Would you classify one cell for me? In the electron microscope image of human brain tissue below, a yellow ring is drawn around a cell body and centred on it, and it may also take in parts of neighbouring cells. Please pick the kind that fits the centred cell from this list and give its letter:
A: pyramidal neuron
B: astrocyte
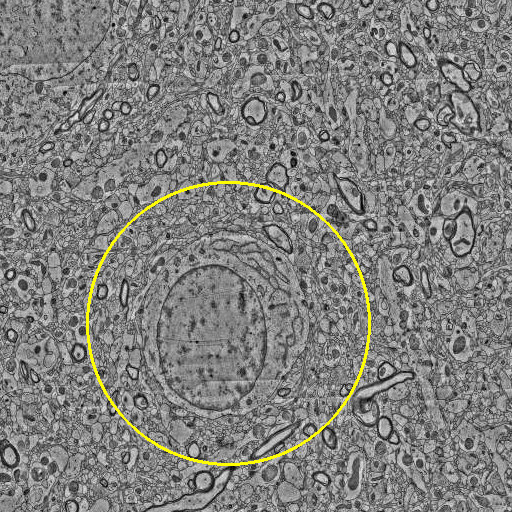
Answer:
A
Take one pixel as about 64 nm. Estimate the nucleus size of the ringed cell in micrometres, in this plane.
About 9 micrometres by about 7 micrometres in this plane.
